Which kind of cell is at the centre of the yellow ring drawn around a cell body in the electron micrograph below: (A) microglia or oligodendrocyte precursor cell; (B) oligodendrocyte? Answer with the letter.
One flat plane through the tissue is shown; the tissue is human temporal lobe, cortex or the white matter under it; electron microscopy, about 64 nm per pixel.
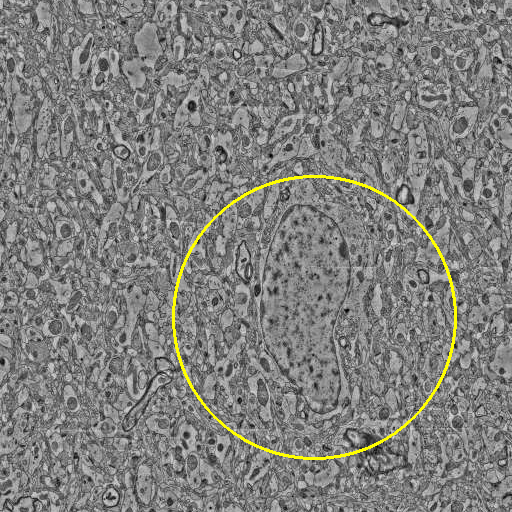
A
